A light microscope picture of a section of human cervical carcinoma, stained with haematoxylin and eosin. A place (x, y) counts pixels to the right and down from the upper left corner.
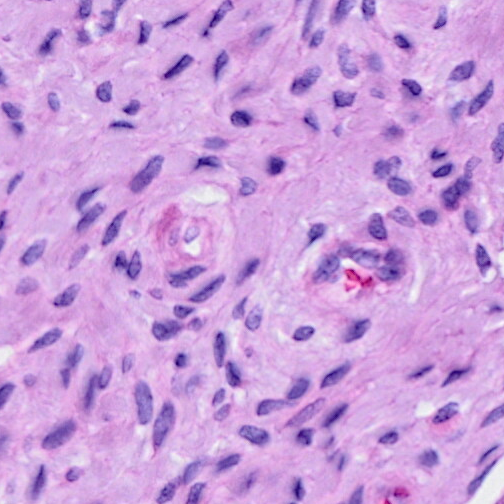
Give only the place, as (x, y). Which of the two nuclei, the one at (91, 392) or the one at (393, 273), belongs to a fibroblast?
(91, 392)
